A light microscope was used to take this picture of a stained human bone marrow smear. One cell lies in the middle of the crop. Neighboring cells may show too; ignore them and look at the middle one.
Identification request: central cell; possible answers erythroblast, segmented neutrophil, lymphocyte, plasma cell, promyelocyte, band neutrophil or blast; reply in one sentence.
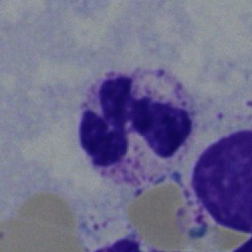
The cell marked by its central position in the crop is a segmented neutrophil.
